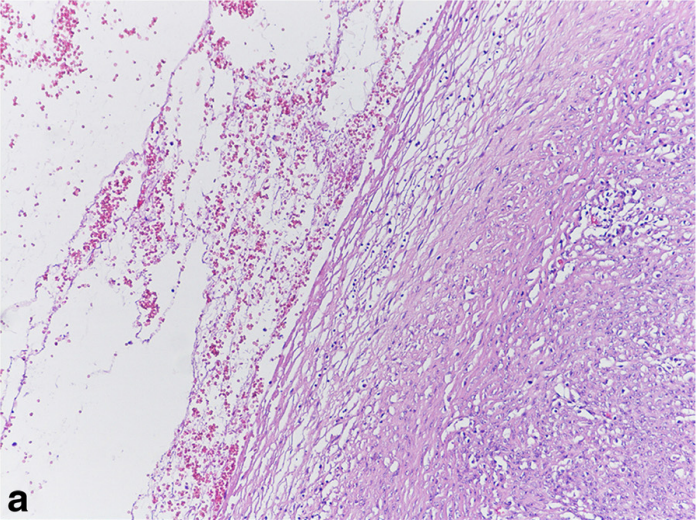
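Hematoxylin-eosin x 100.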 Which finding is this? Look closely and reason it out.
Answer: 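A space filled with loose red blood cells borders a fibrous wall. No row of epithelial cells lines the inner surface of the wall. The answer: no epithelial lining.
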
